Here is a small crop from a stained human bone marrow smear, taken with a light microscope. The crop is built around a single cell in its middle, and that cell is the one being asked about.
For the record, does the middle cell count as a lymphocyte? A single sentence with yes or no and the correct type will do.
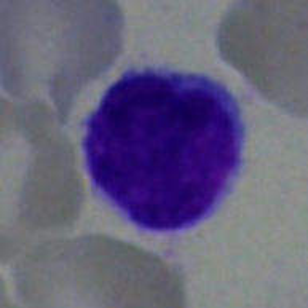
Yes, the cell at the centre is designated a lymphocyte.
